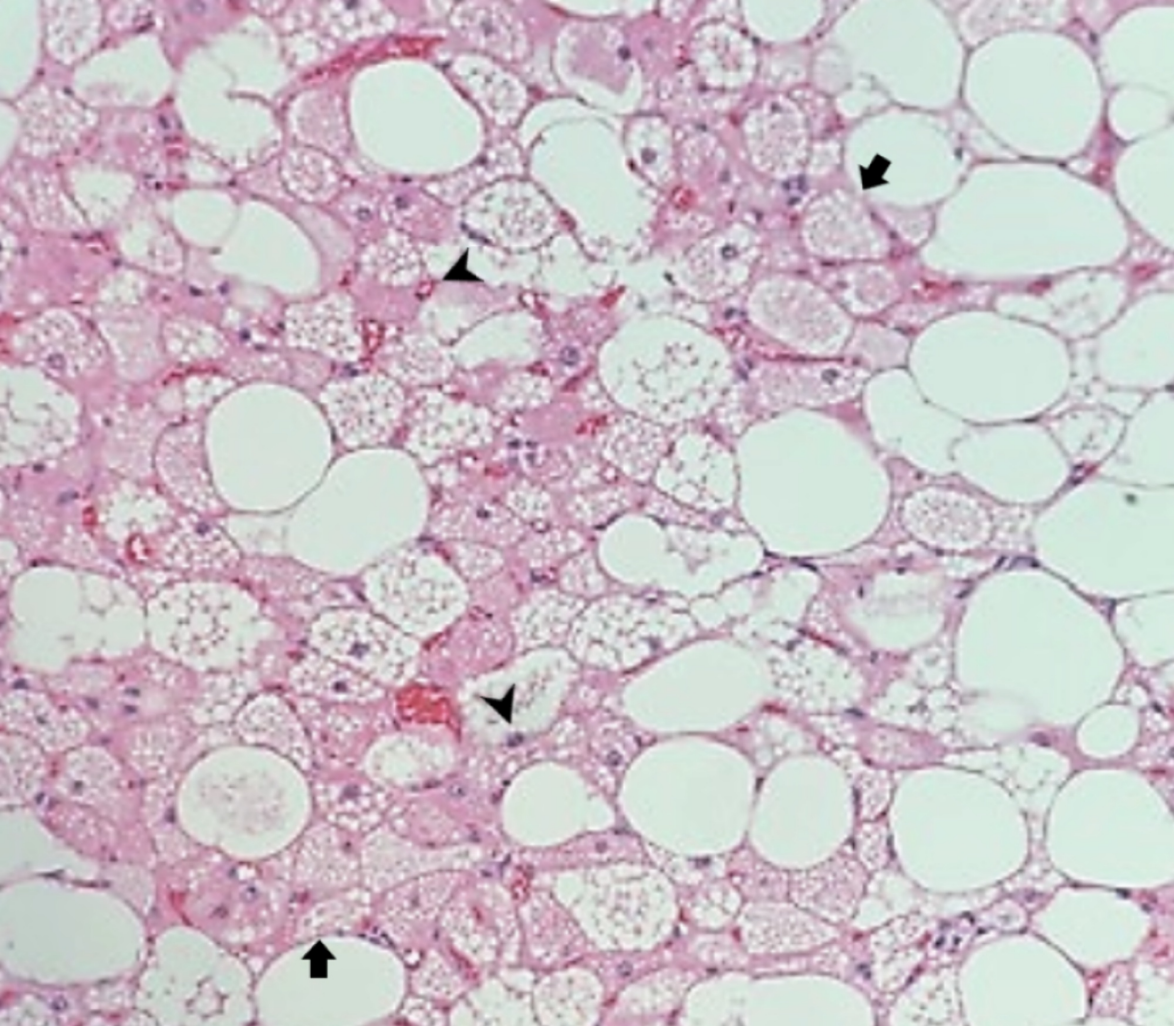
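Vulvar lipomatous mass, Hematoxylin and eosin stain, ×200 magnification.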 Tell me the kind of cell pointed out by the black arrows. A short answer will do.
microvacuolated brown fat cells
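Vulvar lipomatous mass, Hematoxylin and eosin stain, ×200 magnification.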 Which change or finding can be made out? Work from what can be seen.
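Sheets of cells with many small clear vacuoles and pink cytoplasm. These are mixed with large cells holding one big clear vacuole. Thin-walled vessels with red blood cells run between the cells. That points to this answer: hibernoma.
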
